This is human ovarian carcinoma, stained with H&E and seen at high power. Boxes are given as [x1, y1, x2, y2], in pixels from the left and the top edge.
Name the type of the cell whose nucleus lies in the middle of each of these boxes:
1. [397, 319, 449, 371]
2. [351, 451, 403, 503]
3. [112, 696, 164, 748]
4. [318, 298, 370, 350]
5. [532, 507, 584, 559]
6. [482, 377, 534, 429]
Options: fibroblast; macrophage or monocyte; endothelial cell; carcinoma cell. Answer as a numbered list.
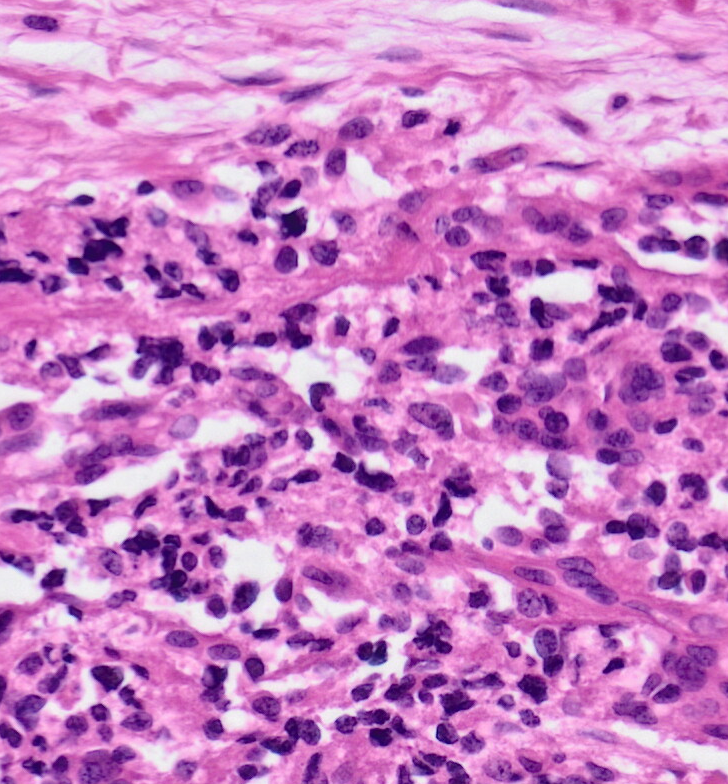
1. carcinoma cell
2. carcinoma cell
3. macrophage or monocyte
4. macrophage or monocyte
5. carcinoma cell
6. carcinoma cell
